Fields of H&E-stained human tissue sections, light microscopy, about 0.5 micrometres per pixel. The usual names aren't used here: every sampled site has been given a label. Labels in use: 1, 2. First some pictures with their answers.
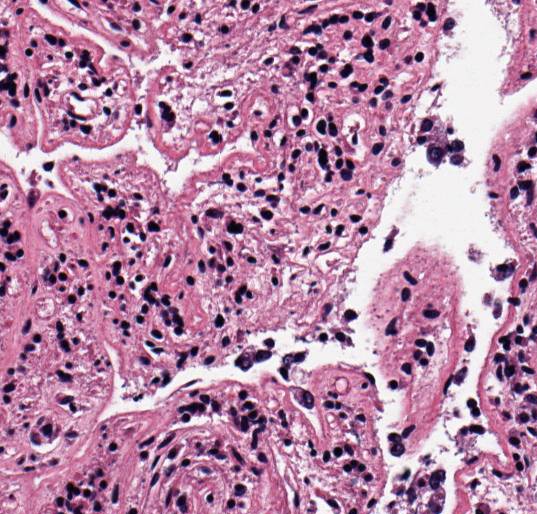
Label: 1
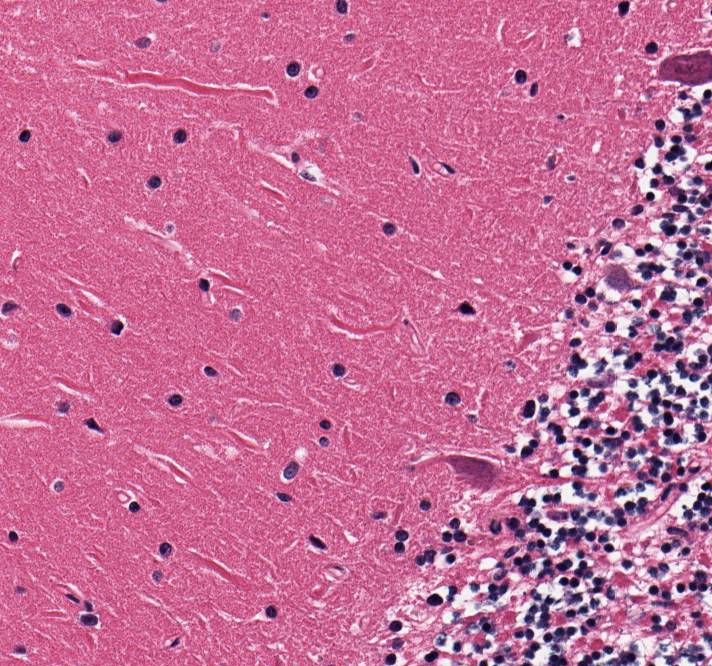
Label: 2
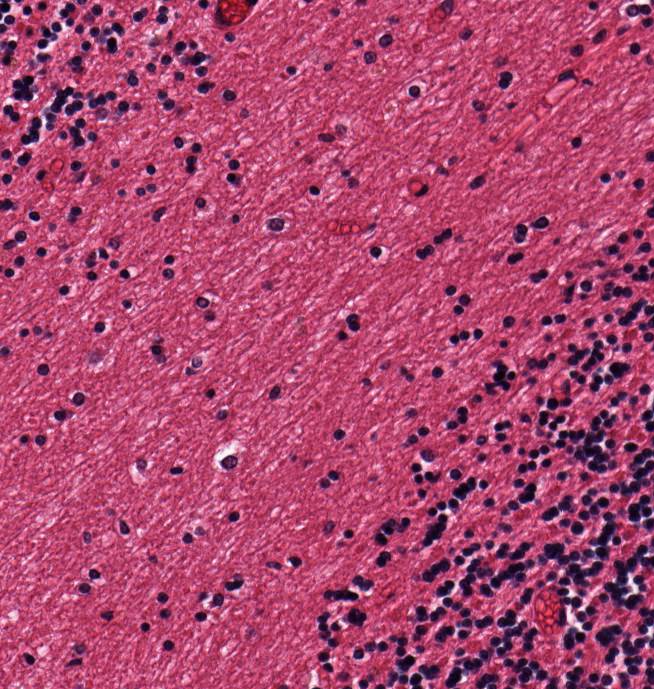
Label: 2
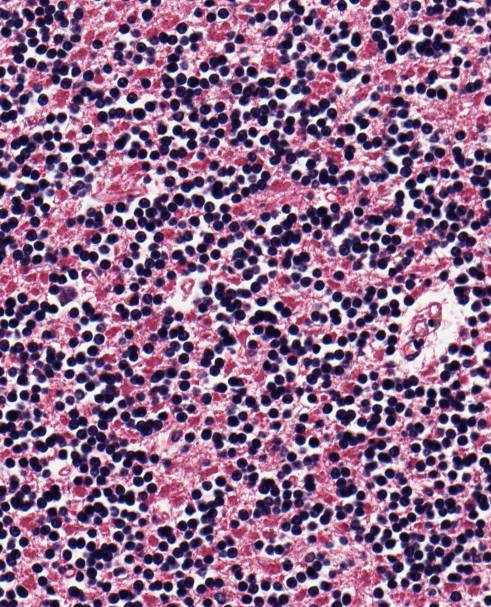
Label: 2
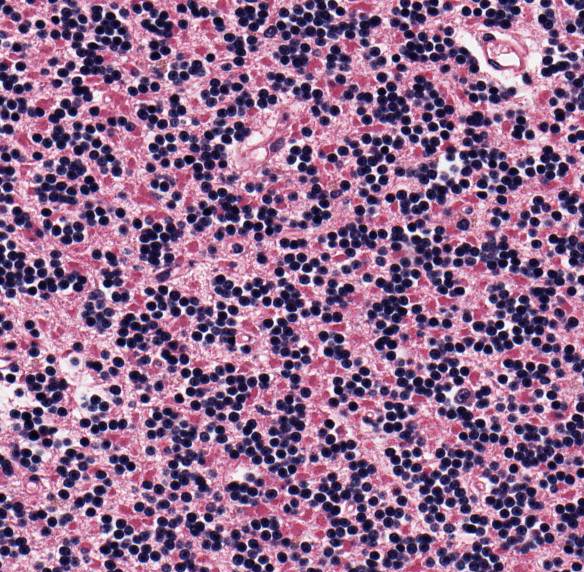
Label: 2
